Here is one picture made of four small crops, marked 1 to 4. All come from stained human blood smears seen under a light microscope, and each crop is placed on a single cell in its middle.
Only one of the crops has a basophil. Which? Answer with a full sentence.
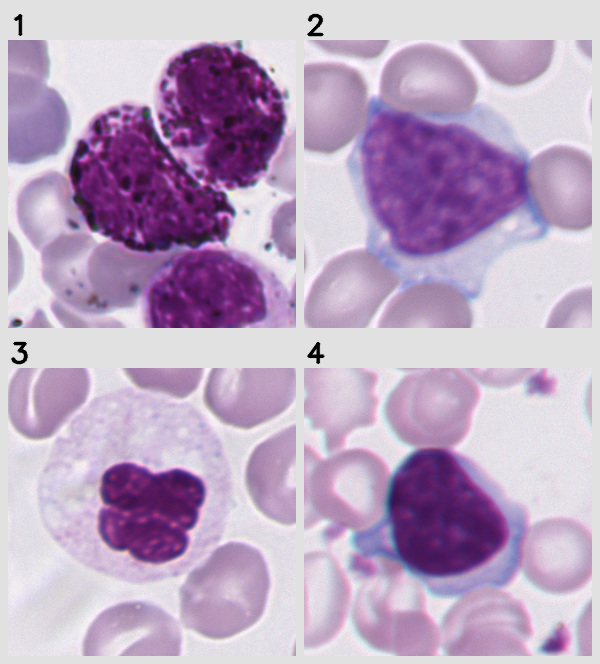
Crop 1 shows a basophil, and no other crop does.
